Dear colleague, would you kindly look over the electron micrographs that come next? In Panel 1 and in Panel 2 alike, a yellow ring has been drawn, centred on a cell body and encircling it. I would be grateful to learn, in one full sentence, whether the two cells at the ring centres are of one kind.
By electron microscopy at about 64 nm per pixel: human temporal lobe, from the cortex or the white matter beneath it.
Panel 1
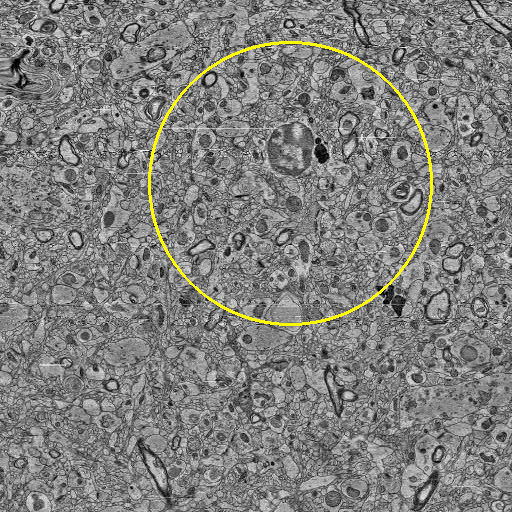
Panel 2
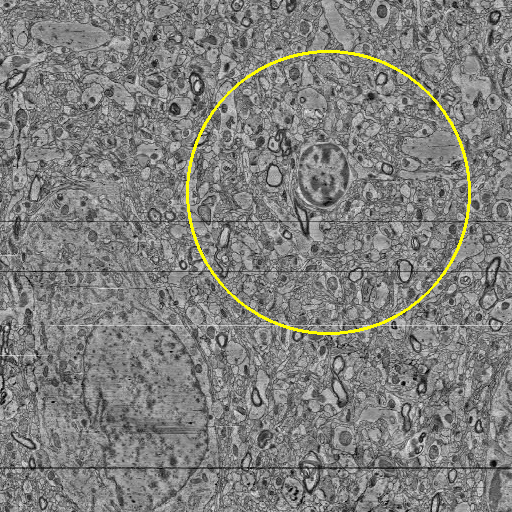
Yes, the cells in the middle of the rings in the two panels are of one kind.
